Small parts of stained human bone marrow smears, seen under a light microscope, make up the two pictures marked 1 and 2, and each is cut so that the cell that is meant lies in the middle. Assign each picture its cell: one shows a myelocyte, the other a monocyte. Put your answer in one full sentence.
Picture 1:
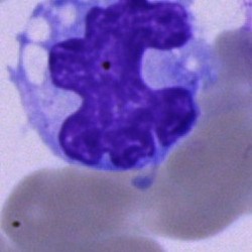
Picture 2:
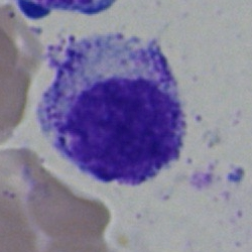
Picture 2 shows a myelocyte, while picture 1 shows a monocyte.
